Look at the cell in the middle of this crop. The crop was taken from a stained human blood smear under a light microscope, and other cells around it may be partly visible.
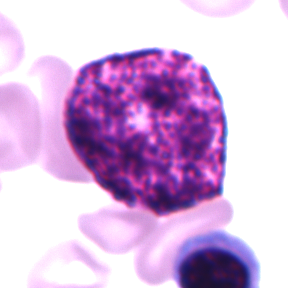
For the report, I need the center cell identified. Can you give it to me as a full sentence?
In the middle of this smear crop, the cell is a basophil.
